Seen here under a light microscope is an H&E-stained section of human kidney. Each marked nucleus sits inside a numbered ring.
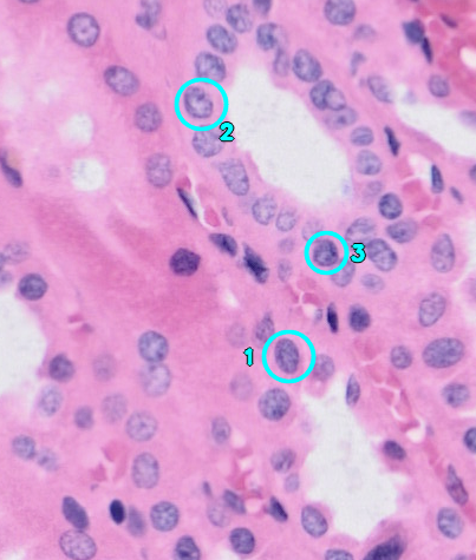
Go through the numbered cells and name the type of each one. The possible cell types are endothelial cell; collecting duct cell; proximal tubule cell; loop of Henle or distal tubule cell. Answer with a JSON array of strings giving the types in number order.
["loop of Henle or distal tubule cell", "collecting duct cell", "collecting duct cell"]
